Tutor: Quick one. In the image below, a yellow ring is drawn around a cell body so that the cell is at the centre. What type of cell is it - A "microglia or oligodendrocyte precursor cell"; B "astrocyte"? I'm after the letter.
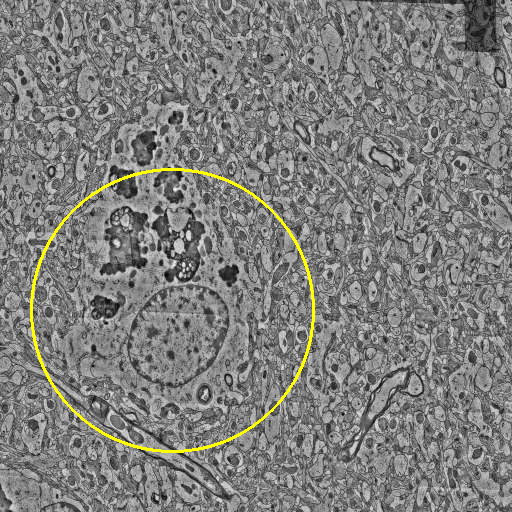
B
